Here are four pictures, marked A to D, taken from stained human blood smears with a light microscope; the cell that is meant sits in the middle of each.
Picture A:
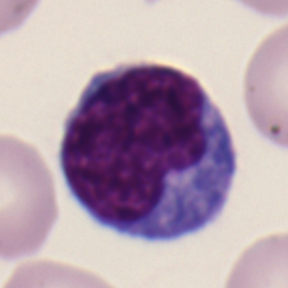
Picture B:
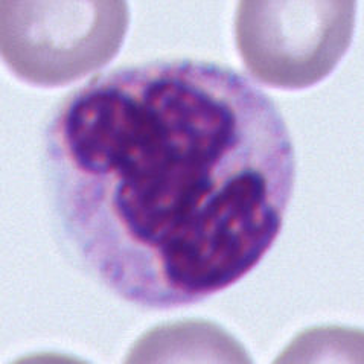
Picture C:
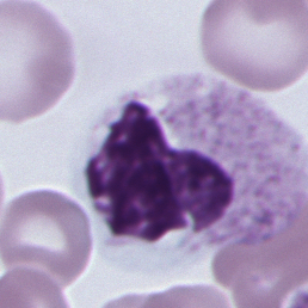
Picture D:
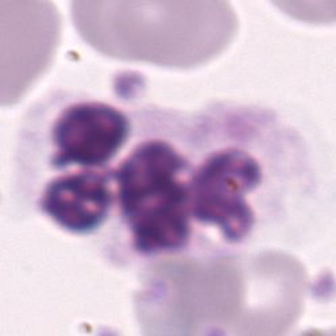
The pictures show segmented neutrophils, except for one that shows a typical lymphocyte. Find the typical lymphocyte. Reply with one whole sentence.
The typical lymphocyte is the one in picture A.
